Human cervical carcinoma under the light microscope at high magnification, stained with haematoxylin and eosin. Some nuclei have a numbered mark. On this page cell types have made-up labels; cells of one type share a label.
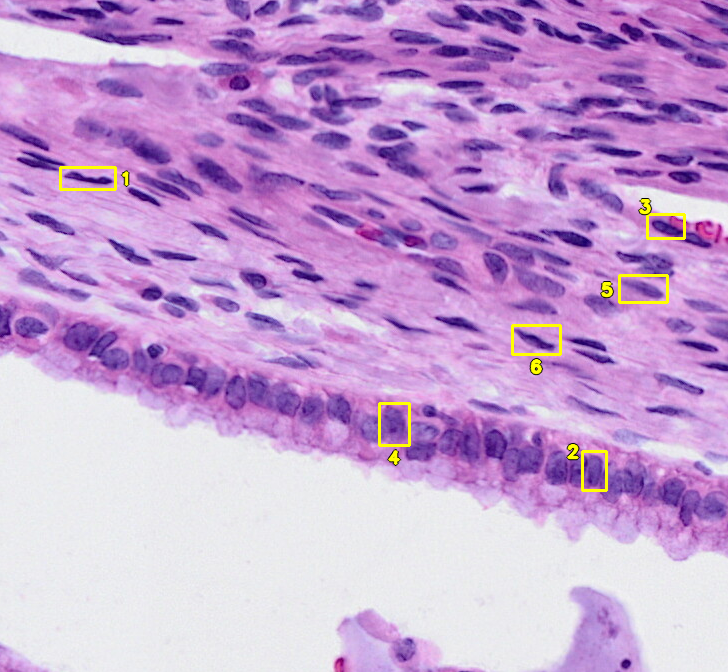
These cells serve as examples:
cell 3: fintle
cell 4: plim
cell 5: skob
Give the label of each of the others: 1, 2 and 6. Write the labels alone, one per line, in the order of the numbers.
skob
plim
skob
